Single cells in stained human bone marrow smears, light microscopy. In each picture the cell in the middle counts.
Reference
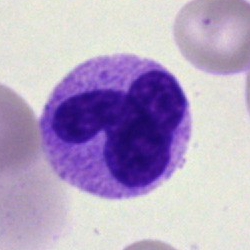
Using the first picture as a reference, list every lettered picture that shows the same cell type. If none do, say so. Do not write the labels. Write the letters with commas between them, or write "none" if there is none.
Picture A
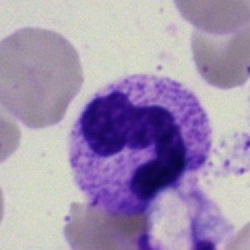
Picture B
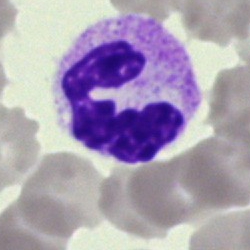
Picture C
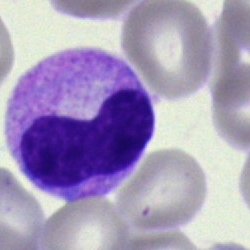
A, B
